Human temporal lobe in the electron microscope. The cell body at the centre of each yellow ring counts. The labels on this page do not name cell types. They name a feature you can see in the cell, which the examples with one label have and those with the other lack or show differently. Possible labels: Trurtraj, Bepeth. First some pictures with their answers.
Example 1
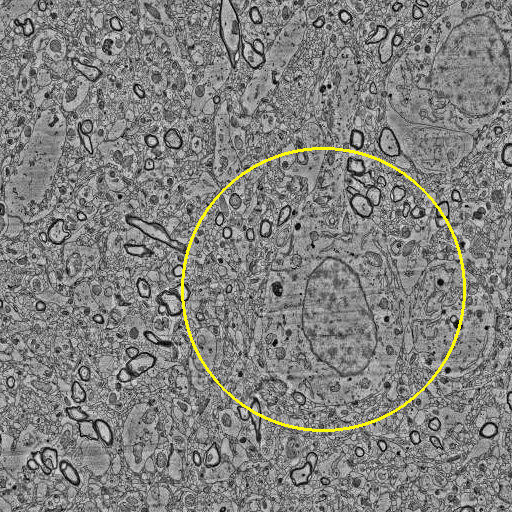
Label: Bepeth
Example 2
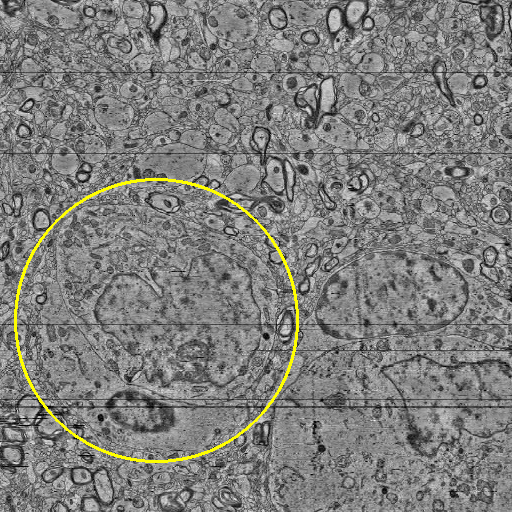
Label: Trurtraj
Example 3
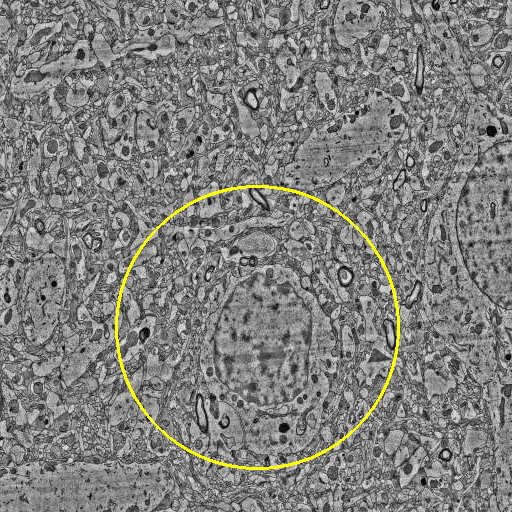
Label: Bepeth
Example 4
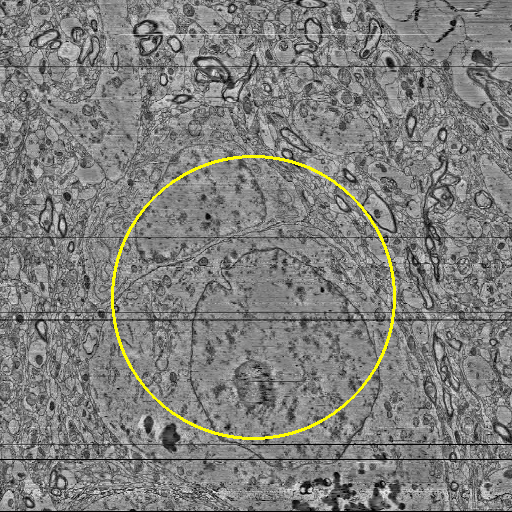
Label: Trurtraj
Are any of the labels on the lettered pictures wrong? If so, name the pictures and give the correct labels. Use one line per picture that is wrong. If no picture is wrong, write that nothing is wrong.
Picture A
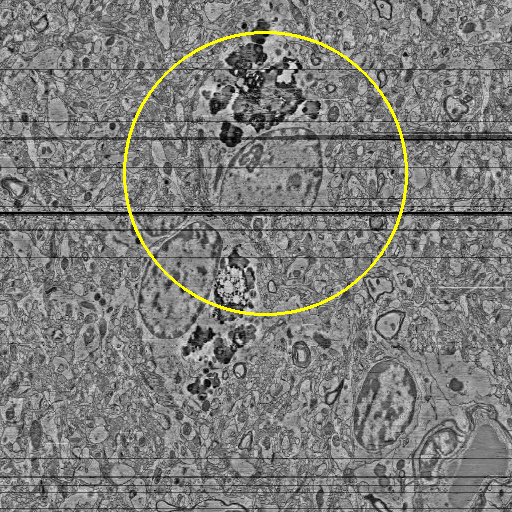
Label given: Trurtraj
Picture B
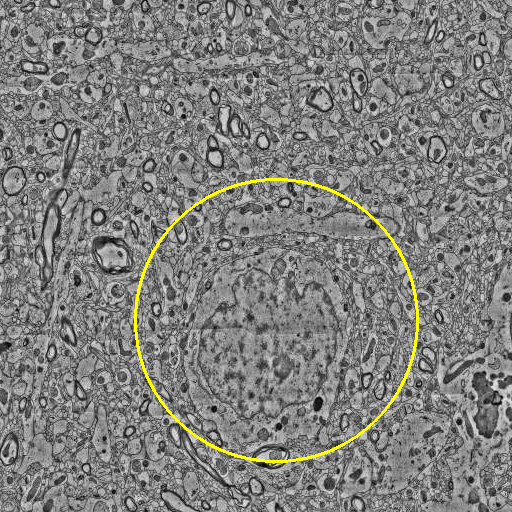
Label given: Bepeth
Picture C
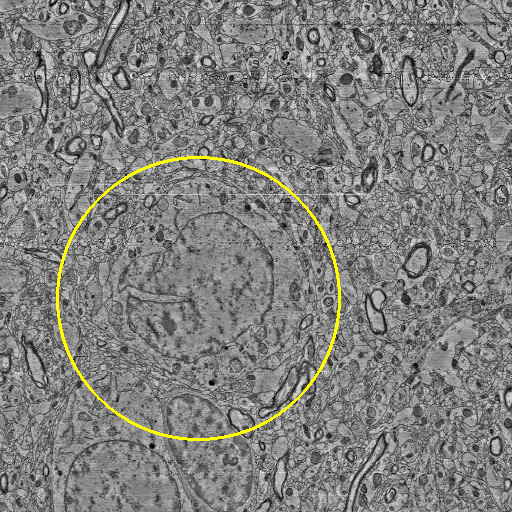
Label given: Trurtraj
Wrong: B (Bepeth); correct: Trurtraj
